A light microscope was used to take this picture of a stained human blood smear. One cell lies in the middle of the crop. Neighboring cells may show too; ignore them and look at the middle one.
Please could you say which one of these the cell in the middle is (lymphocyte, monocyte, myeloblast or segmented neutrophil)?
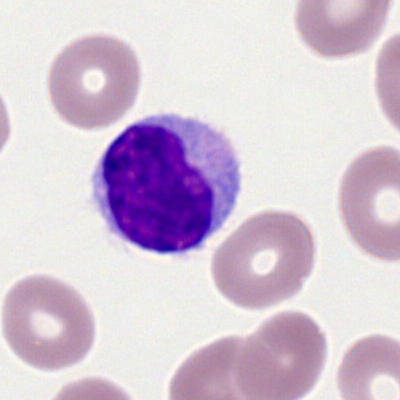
lymphocyte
